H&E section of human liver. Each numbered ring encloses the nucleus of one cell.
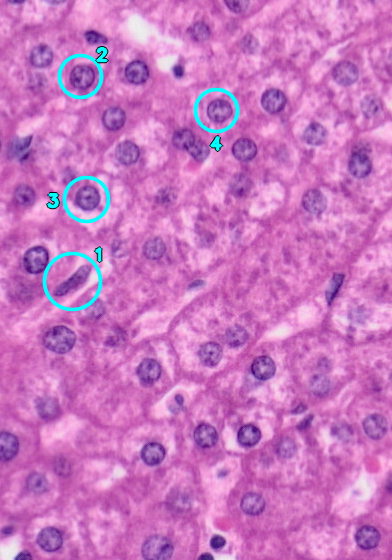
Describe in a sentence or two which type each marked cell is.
Cell 1 is a Kupffer cell, cell 2 is a hepatocyte, cell 3 is a hepatocyte and cell 4 is a hepatocyte.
